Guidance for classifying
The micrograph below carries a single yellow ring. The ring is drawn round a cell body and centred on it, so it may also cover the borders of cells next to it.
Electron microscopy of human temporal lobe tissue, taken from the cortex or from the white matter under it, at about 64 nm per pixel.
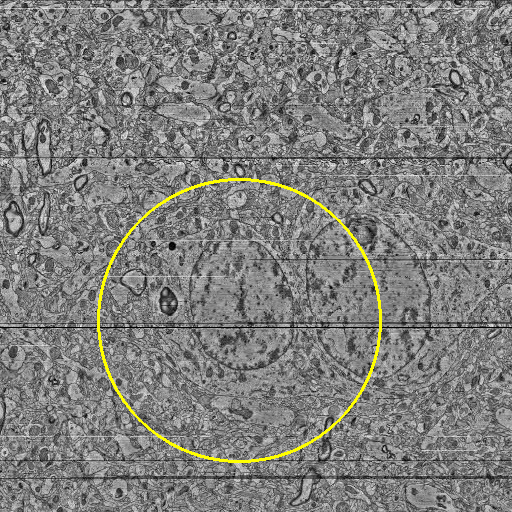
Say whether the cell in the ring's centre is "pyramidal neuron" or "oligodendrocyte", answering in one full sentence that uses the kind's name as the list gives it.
Within the yellow ring, a pyramidal neuron is the cell whose body sits at the centre.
